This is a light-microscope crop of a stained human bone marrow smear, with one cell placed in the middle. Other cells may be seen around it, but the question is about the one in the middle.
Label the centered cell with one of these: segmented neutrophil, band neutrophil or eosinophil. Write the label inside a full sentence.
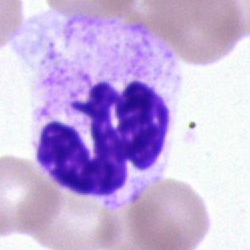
Positioned in the middle of the crop is a segmented neutrophil.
